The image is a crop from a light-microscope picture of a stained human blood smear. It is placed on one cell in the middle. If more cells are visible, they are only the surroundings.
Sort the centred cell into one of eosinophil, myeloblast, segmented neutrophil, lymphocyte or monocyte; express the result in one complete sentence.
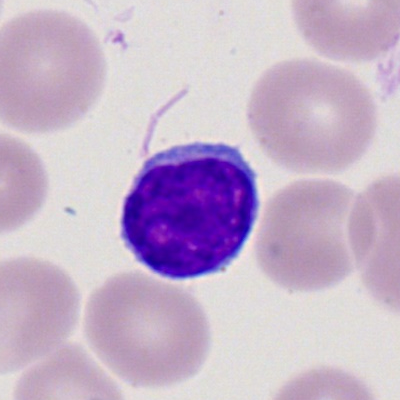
Among the cells in view, the one in the middle is a lymphocyte.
